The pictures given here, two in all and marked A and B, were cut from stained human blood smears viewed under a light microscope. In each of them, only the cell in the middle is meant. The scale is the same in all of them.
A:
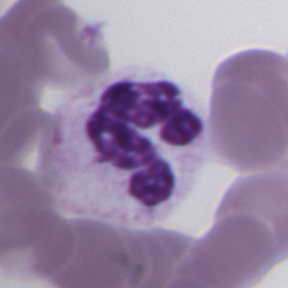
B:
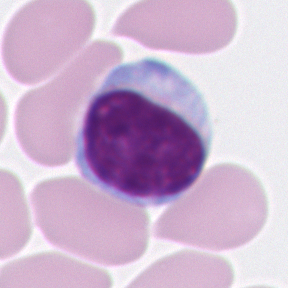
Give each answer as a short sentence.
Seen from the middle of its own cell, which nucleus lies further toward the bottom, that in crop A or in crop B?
The nucleus in crop B lies further toward the bottom of its cell.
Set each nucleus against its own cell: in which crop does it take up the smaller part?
Of the two, the nucleus in crop A leaves more room for cytoplasm.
